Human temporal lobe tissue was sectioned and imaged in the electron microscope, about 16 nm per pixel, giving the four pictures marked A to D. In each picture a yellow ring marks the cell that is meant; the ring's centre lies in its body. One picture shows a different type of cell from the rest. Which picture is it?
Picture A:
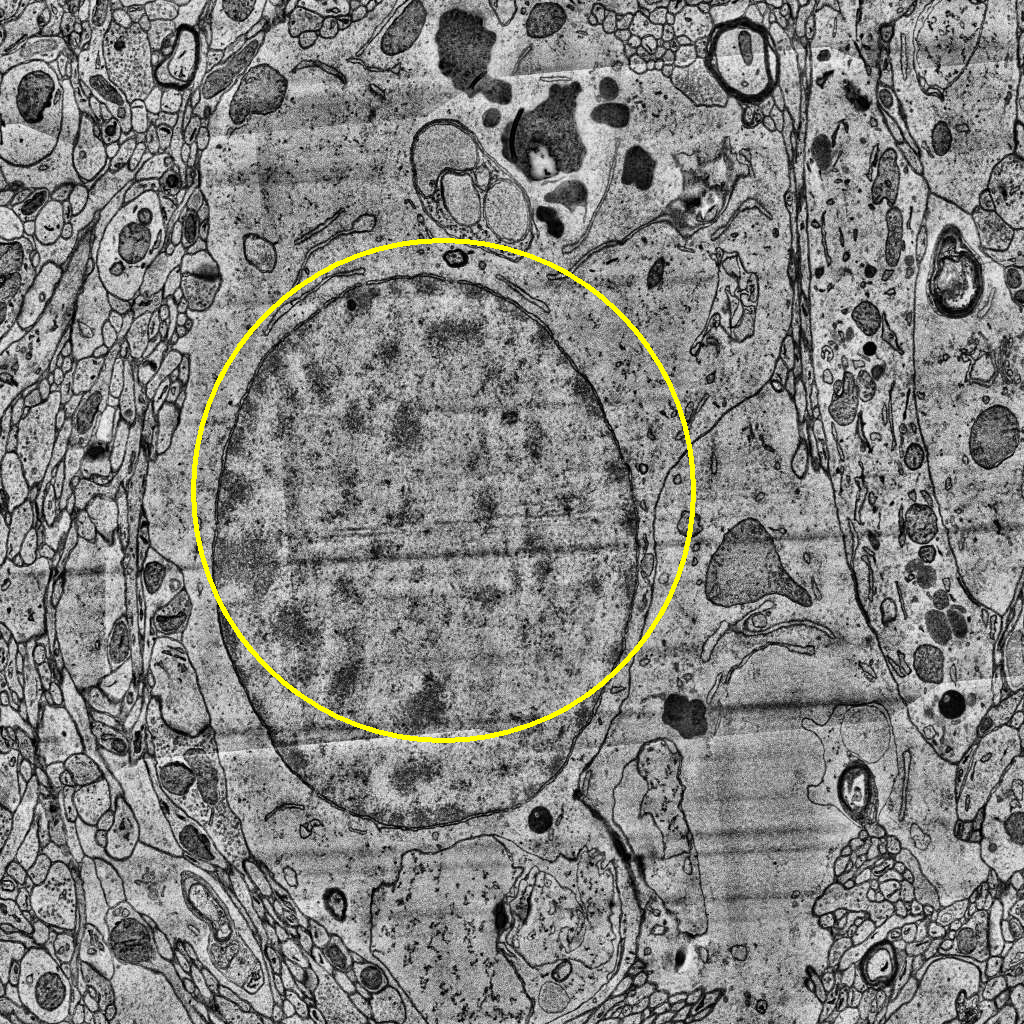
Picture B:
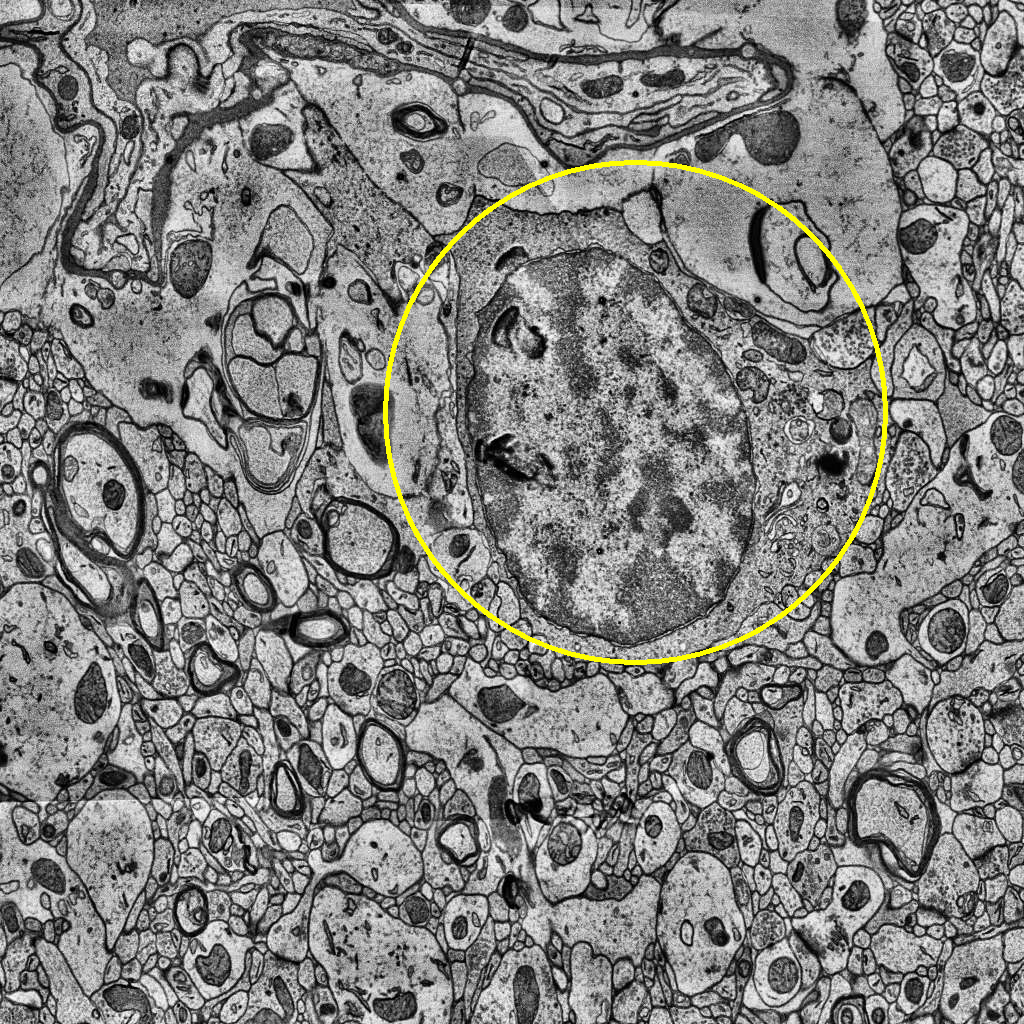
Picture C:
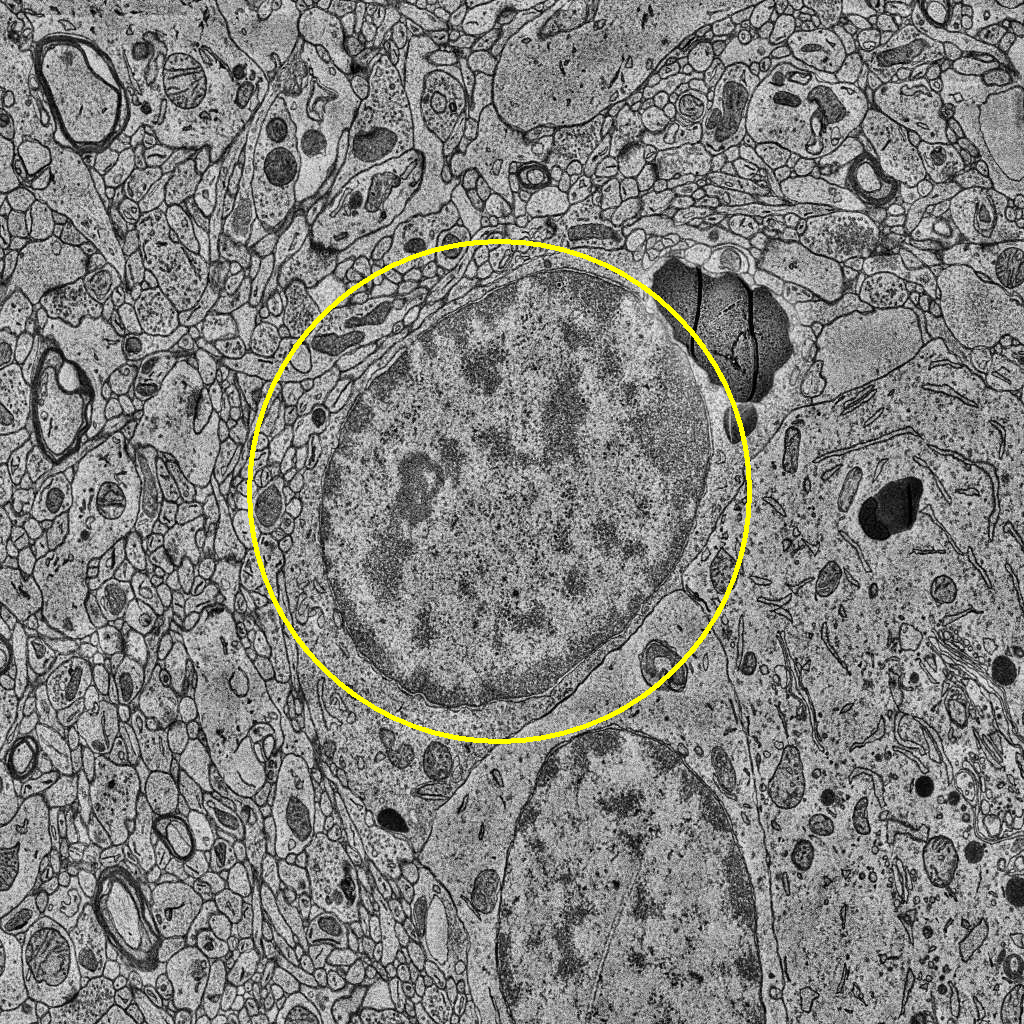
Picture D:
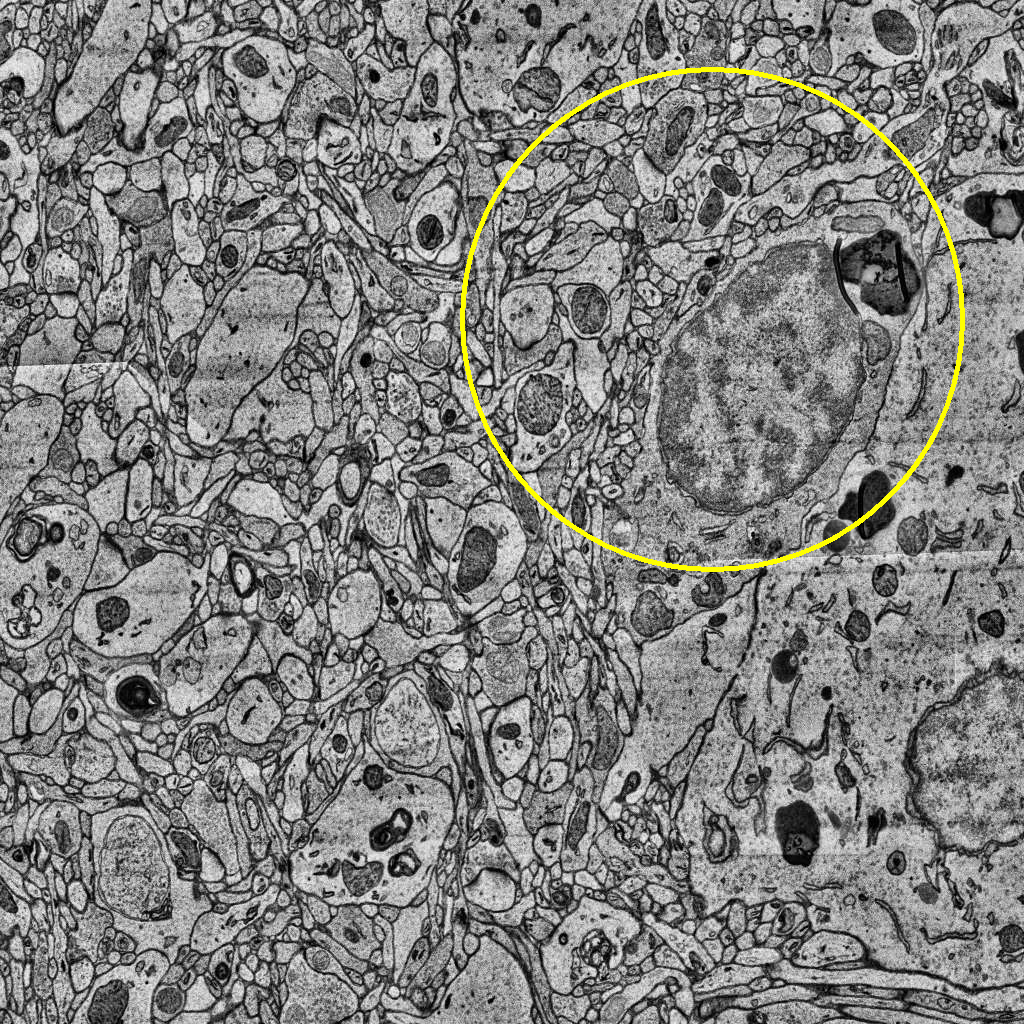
Unlike the rest, which show oligodendrocytes, picture A shows an astrocyte.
